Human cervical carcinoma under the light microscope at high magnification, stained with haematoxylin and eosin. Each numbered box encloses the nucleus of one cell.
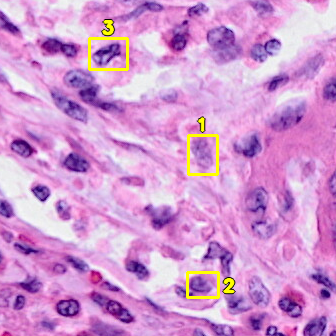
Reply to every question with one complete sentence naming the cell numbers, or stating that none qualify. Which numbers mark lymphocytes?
Of the cells carrying numbers, just cell 3 is a lymphocyte.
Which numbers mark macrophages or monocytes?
Of all the cells bearing numbers, cell 2 is the only one that is a macrophage or monocyte.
